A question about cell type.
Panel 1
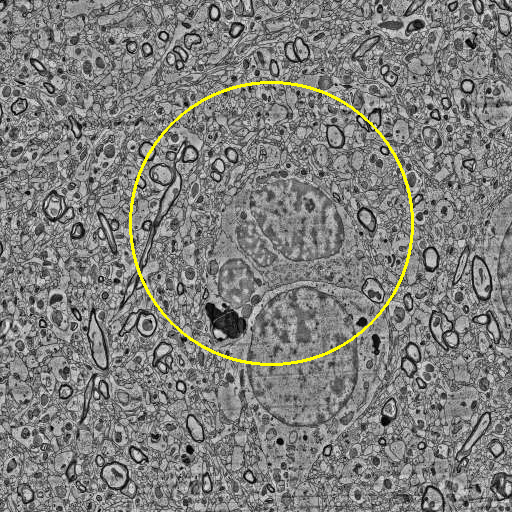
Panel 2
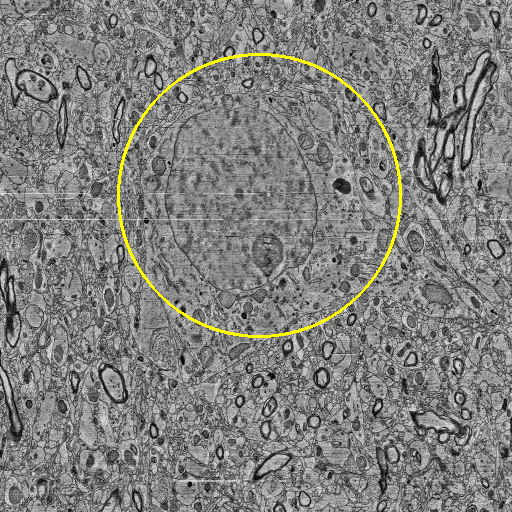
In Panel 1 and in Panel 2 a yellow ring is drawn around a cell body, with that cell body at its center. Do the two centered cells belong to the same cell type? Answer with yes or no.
no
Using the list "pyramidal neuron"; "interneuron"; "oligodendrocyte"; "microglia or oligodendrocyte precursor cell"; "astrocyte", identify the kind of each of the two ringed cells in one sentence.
The first is an oligodendrocyte and the second is a pyramidal neuron.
